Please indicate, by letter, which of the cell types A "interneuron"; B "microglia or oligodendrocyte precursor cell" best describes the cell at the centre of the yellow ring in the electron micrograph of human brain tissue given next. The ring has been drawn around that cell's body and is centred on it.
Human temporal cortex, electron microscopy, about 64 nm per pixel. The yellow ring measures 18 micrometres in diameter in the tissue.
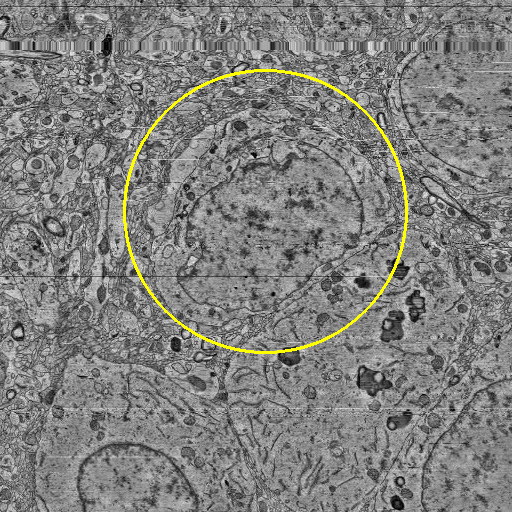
A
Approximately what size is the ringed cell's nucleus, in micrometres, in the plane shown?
The nucleus works out at approximately 13 by 9 micrometres in this plane.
